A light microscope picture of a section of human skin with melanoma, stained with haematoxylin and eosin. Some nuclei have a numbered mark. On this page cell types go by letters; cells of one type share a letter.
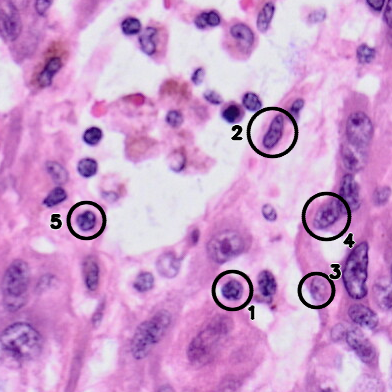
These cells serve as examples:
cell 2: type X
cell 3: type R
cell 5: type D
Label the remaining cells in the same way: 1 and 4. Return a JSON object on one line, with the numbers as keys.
{"1": "type D", "4": "type R"}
